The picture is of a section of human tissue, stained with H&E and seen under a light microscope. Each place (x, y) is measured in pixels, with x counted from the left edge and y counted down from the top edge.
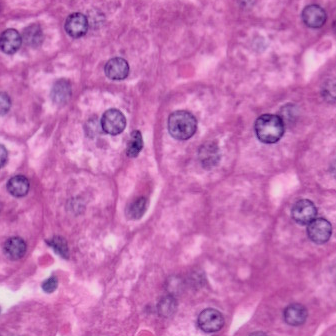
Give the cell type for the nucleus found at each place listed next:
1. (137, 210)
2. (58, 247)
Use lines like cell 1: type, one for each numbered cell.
cell 1: Kupffer cell
cell 2: endothelial cell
